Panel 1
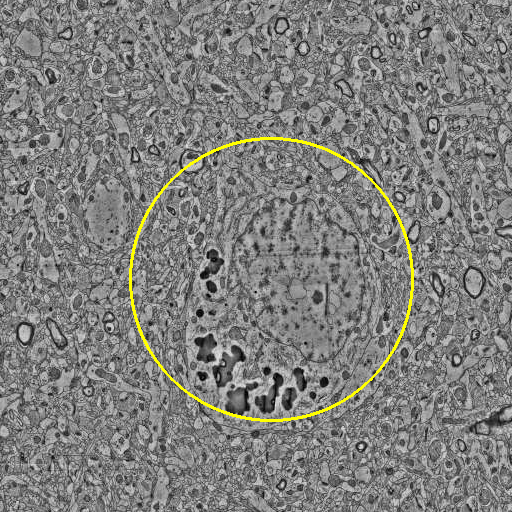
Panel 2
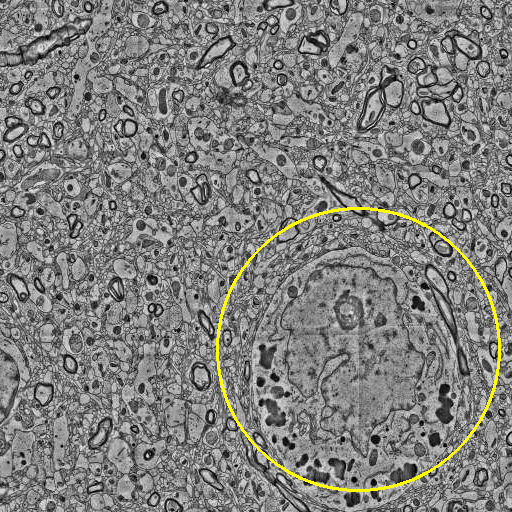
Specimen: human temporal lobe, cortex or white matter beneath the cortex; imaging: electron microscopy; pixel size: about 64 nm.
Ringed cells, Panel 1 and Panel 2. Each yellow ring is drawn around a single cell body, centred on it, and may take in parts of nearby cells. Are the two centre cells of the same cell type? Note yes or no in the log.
yes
